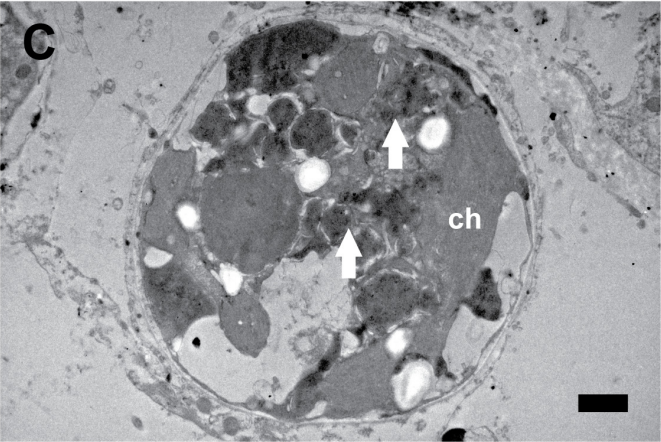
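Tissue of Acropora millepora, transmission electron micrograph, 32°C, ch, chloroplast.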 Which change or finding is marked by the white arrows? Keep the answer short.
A: degraded internal structures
